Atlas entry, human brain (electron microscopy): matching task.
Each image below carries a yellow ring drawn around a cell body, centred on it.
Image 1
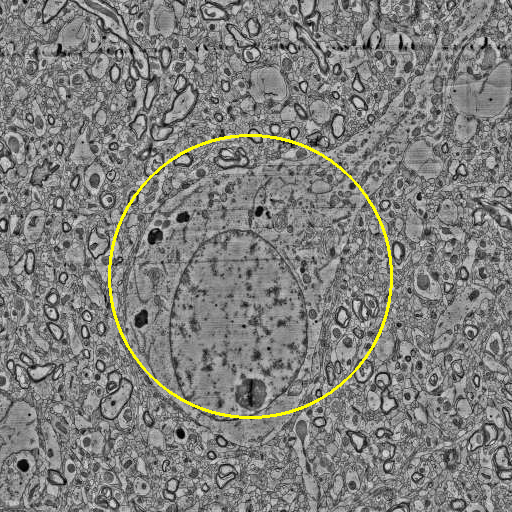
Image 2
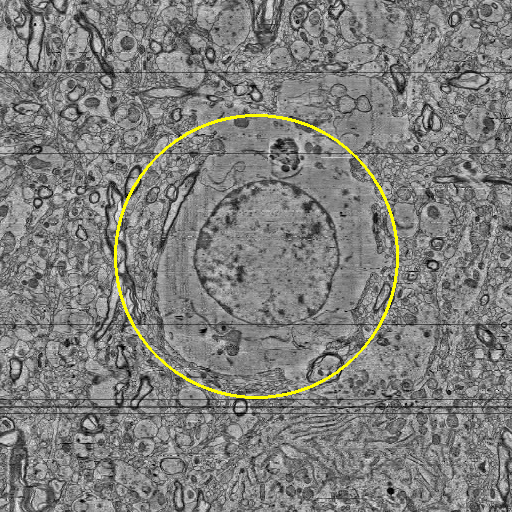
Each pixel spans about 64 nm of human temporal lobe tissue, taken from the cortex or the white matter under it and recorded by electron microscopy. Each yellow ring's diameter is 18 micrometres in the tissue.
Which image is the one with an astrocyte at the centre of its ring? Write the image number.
2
